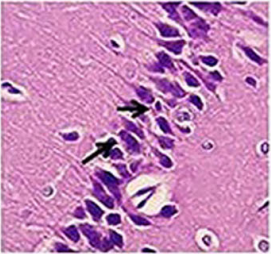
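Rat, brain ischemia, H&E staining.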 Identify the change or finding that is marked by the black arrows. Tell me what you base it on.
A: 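The marked cells are shrunken and angular. The marked cells stain deep purple throughout, with no clear nucleus. Many such dark cells crowd the cell layer. The answer: dark neurons.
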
